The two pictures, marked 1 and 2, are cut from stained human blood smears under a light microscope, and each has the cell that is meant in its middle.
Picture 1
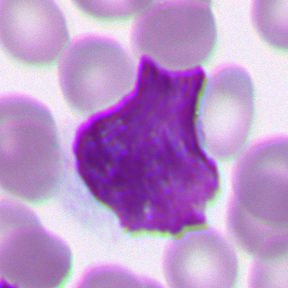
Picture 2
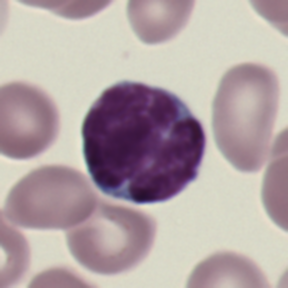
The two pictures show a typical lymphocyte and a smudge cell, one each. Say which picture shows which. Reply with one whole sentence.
It is picture 1 that shows a smudge cell, and picture 2 that shows a typical lymphocyte.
